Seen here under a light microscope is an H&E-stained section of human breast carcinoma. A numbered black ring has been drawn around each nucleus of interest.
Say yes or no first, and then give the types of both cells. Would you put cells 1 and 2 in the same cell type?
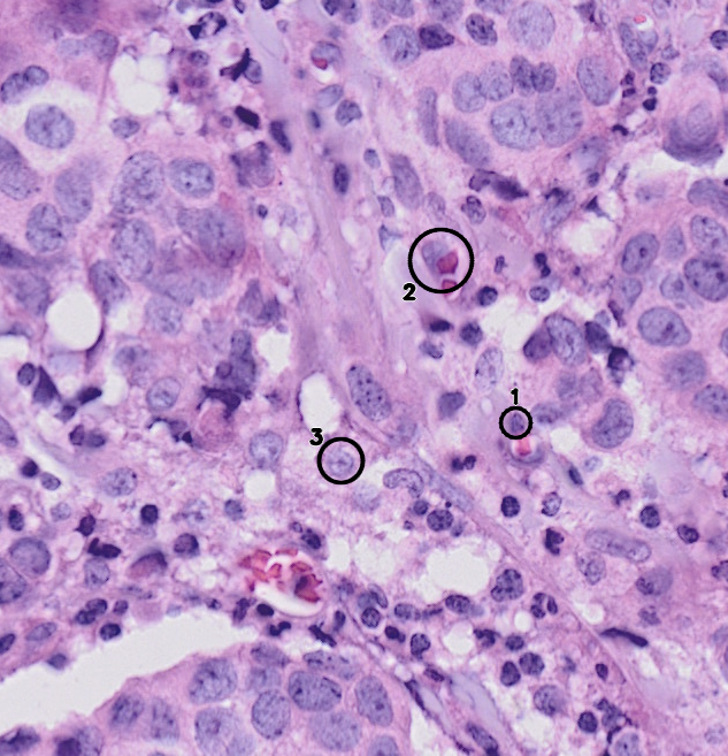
Yes, both are endothelial cells.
